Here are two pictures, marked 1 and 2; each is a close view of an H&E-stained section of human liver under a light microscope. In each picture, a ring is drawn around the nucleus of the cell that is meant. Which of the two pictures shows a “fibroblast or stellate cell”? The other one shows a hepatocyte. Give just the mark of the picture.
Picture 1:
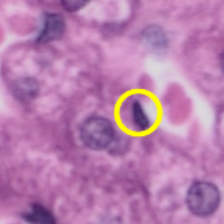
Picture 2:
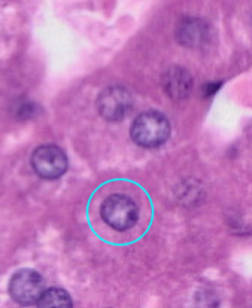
1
